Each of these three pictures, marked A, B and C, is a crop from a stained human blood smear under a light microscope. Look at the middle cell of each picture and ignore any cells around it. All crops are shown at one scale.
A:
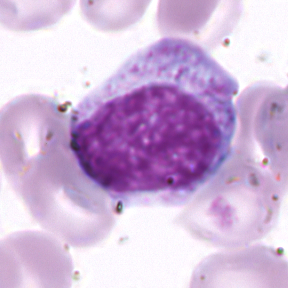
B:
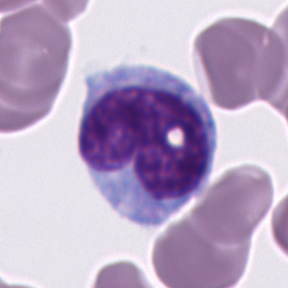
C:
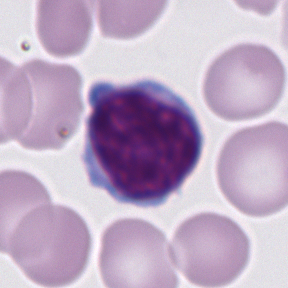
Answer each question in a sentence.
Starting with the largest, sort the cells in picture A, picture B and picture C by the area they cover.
From the largest down, the order is A, B, C.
